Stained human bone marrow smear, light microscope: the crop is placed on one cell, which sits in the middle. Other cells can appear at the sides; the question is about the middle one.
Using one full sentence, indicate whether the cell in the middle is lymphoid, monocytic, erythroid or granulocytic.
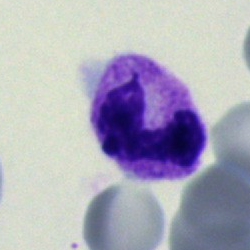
The central cell's lineage is granulocytic.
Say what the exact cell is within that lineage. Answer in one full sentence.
Centred in the crop is a band neutrophil.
